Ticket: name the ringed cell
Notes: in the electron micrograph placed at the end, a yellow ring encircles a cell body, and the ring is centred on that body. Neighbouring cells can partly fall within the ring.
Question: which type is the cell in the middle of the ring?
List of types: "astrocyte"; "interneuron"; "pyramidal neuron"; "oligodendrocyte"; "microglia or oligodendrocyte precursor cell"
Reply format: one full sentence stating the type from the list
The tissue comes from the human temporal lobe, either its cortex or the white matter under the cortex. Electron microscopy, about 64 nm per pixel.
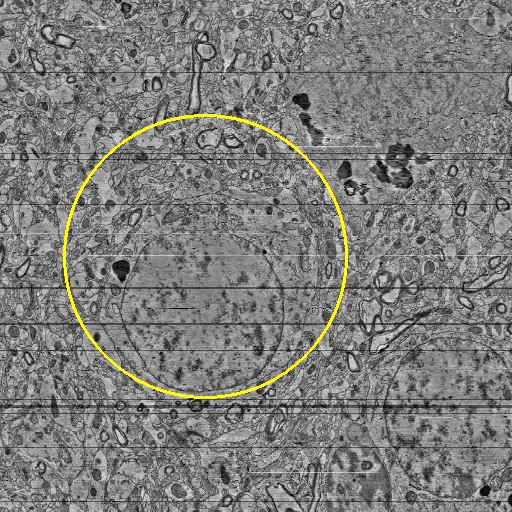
The cell sitting at the centre of the yellow ring is a pyramidal neuron.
